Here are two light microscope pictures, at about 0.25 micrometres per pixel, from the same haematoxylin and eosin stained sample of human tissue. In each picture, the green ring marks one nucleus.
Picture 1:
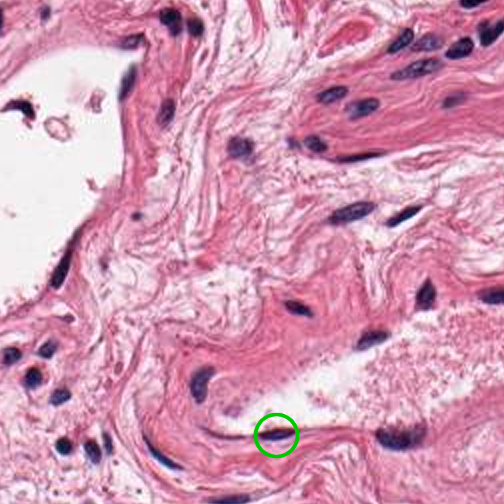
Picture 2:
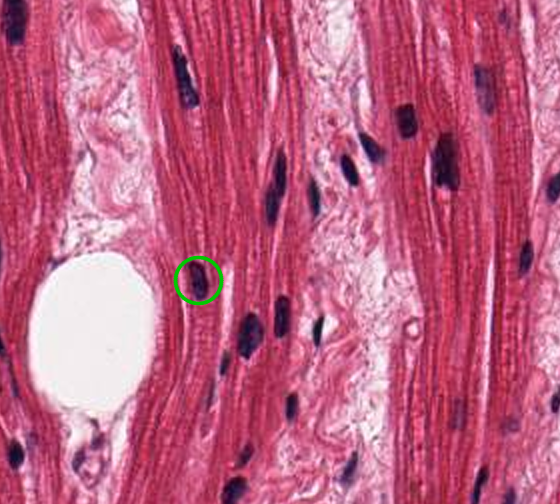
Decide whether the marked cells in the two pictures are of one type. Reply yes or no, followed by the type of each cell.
No, the first is an endothelial cell and the second a cardiomyocyte.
